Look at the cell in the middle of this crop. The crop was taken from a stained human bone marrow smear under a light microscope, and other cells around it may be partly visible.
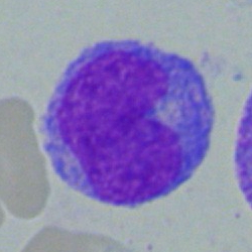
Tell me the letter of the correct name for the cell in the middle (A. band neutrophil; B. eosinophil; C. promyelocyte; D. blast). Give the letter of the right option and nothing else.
D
